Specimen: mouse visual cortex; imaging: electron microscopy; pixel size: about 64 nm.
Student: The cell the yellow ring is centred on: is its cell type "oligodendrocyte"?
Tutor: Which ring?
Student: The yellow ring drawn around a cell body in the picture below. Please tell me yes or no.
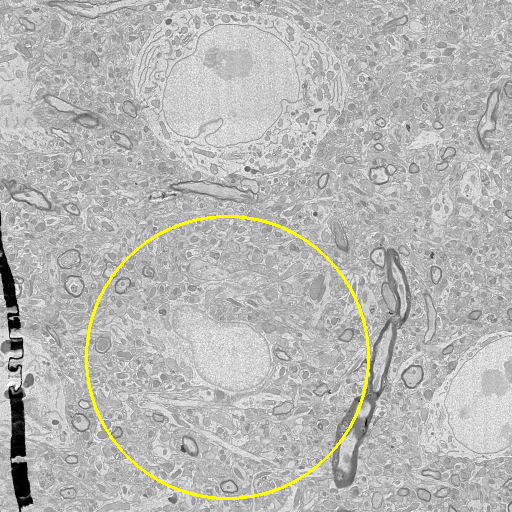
no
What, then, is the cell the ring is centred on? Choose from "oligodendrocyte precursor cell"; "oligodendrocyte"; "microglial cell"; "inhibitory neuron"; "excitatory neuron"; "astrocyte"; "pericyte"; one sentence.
The cell marked by the ring is an astrocyte.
